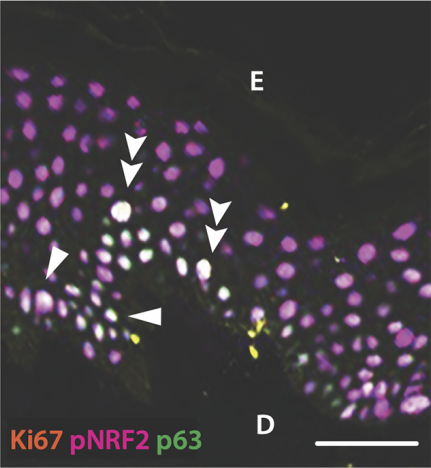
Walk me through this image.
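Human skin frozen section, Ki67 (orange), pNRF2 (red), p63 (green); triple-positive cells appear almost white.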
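Many oval magenta nuclei fill several layers of the epithelium, fading toward the upper region where no nuclei are seen. Bright white nuclei cluster in the lower rows, at the base and just above it. A few small yellow specks lie in the dermis below the epithelium.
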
